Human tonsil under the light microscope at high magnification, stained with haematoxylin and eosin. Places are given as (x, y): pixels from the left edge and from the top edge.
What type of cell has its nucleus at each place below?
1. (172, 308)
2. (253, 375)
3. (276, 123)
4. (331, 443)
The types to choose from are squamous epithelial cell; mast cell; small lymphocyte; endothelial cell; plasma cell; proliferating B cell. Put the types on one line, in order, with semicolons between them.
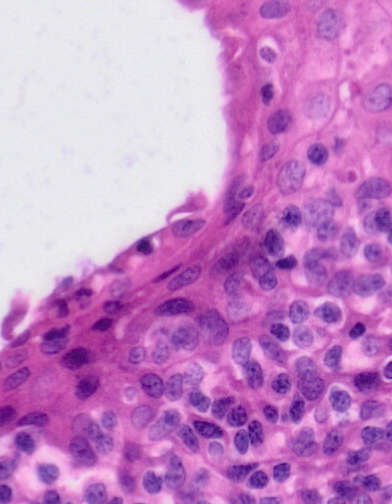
squamous epithelial cell; squamous epithelial cell; squamous epithelial cell; plasma cell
